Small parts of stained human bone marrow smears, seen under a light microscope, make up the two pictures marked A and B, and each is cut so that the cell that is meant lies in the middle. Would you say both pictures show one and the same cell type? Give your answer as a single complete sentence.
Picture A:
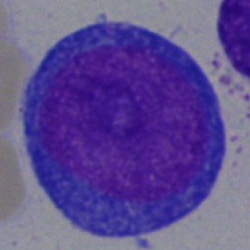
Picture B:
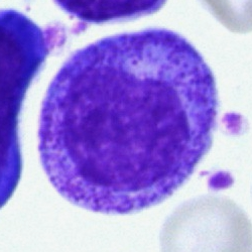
No; the cell in picture A is a proerythroblast, while the one in picture B is a myelocyte.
